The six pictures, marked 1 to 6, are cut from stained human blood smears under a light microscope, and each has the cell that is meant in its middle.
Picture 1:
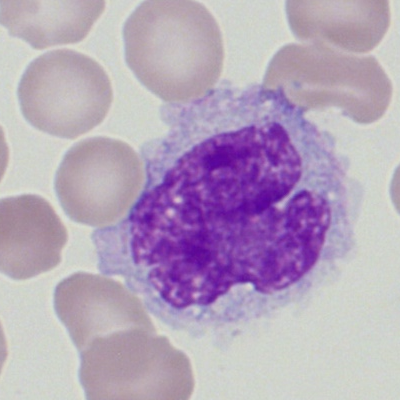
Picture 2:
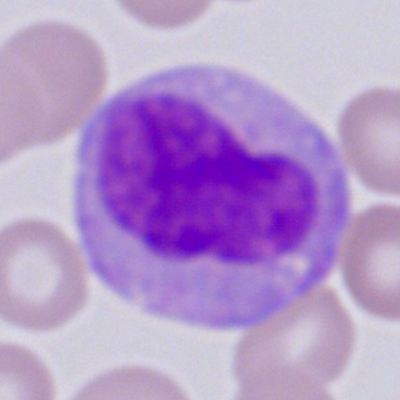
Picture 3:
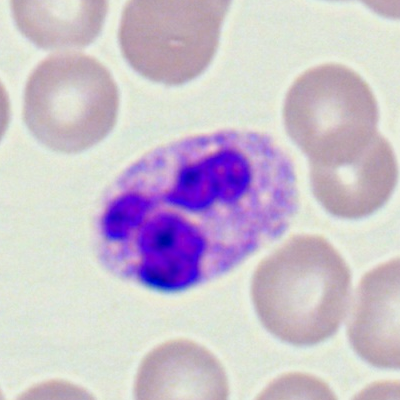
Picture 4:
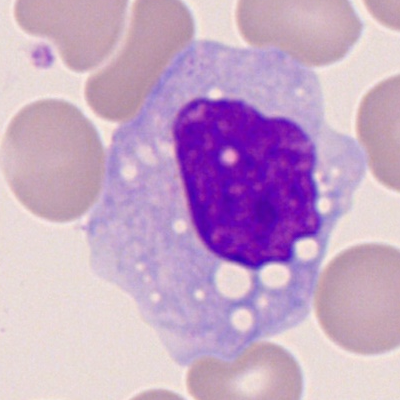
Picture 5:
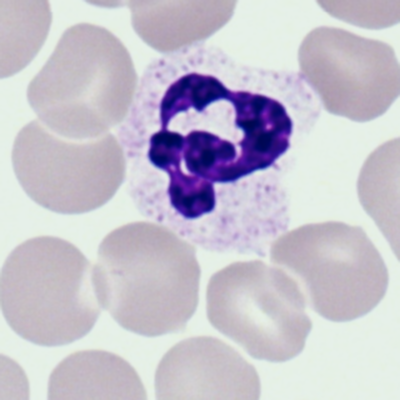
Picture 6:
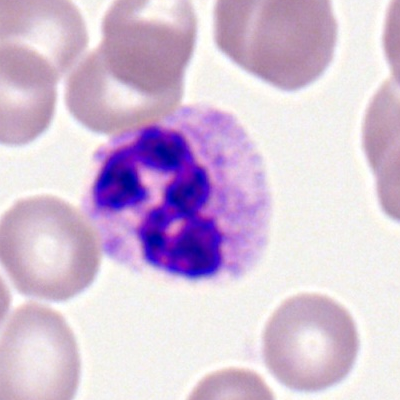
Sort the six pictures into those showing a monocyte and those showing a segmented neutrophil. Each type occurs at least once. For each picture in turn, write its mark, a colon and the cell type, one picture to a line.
1: monocyte
2: monocyte
3: segmented neutrophil
4: monocyte
5: segmented neutrophil
6: segmented neutrophil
